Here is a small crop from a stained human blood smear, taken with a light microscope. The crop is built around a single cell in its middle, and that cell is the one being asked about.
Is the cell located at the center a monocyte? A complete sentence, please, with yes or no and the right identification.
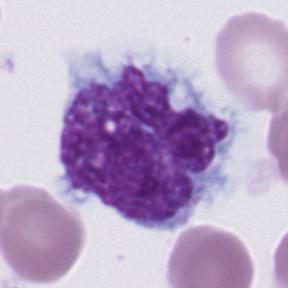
Yes, the cell in the middle of this smear crop is a monocyte.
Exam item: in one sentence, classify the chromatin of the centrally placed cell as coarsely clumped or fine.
Its chromatin is clumped in a coarse pattern.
